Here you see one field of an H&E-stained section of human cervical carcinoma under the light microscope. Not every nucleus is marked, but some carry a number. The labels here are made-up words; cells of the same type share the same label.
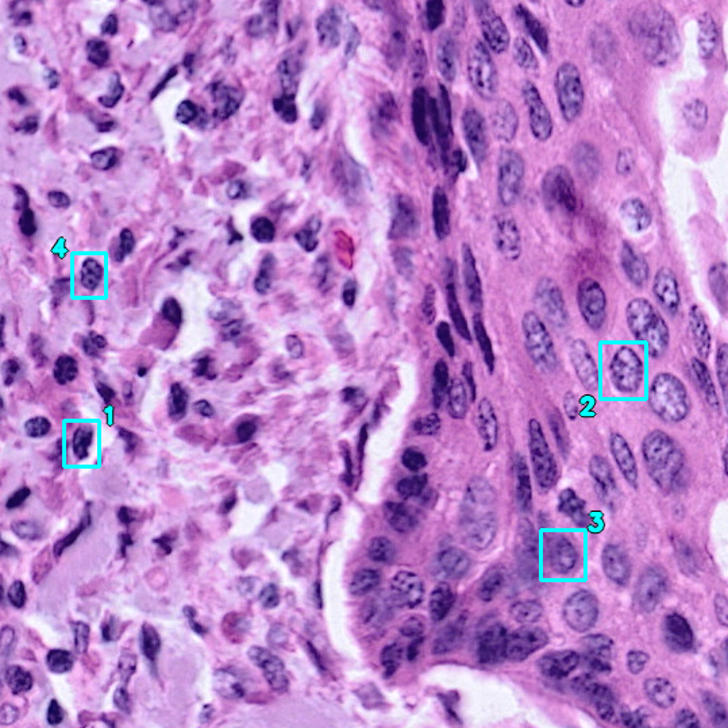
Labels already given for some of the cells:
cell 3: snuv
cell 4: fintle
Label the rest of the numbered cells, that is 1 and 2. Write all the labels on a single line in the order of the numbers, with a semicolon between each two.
fintle; snuv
